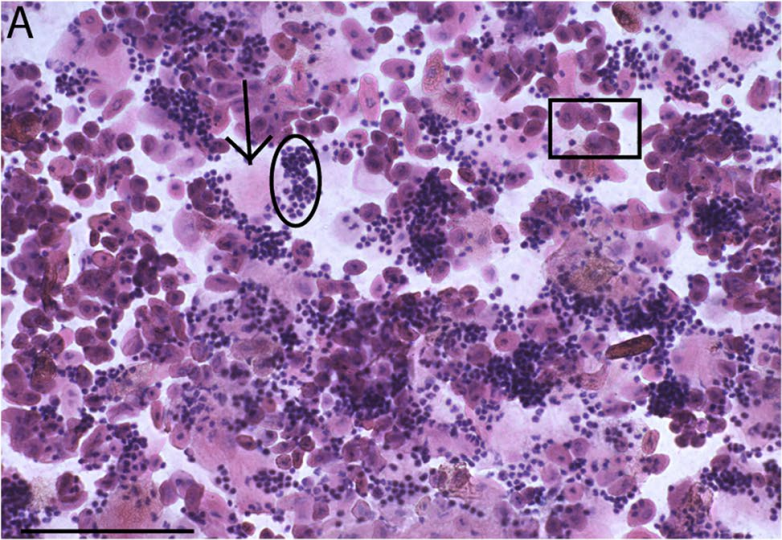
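Vaginal smear with a mixed population of epithelial cells and leukocytes. Clusters of small leukocytes with dark lobed nuclei lie between and over the epithelial cells. Cells are densely packed and overlap across most of the field.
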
